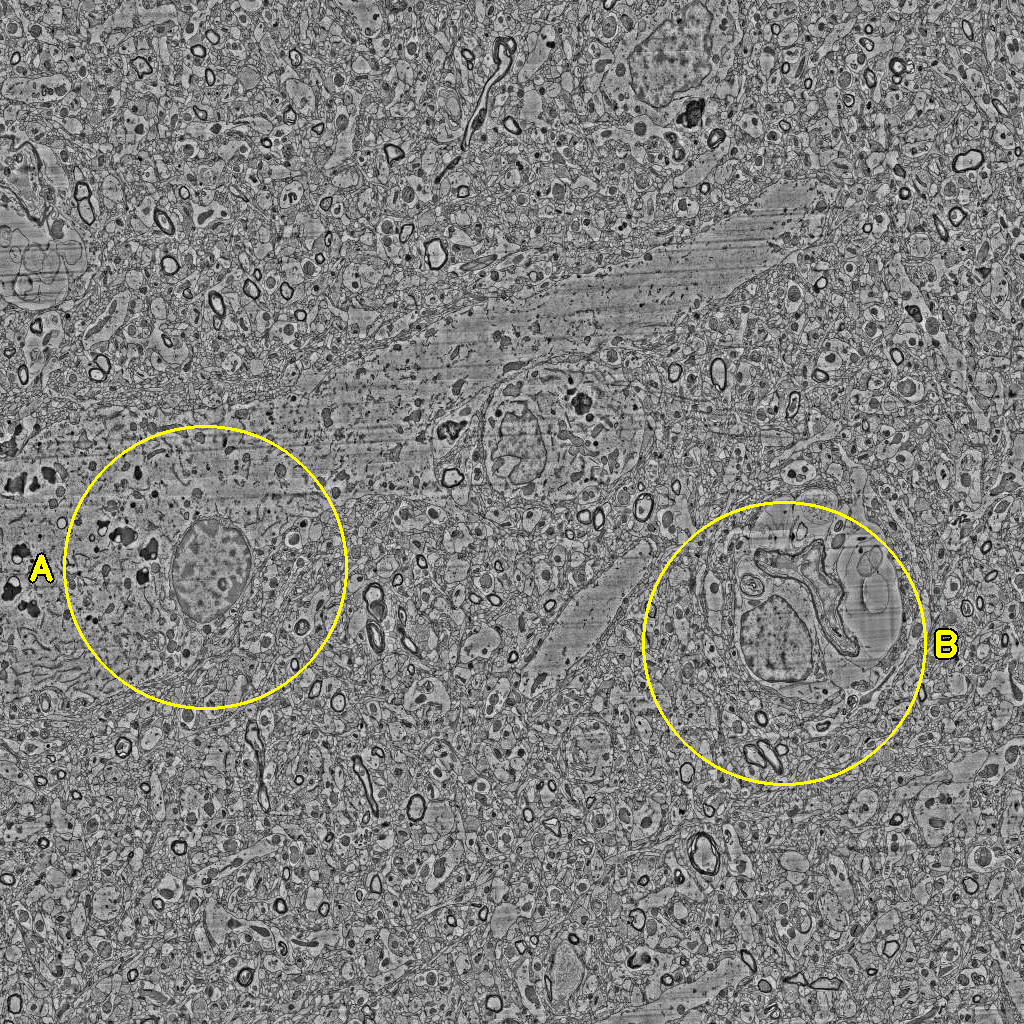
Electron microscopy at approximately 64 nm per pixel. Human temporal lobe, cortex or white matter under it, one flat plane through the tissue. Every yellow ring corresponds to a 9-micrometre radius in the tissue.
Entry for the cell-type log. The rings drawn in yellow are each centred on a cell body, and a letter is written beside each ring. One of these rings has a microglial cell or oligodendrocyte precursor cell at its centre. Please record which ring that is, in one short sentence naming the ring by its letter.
Ring B is centred on it.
